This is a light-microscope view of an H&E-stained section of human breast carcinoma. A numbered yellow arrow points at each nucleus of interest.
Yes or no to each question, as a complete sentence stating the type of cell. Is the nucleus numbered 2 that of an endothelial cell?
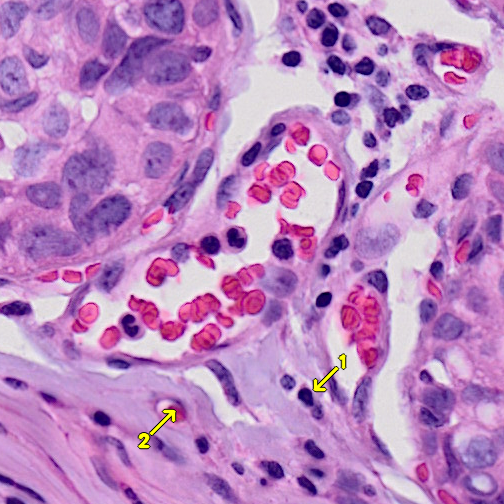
Yes, the cell with number 2 is an endothelial cell.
